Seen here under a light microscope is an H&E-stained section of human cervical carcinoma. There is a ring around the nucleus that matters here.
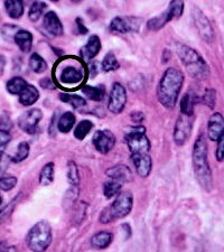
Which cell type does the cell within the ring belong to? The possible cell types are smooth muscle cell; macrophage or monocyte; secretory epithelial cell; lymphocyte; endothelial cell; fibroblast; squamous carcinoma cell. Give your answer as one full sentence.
It is a lymphocyte that the cell within the ring represents.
